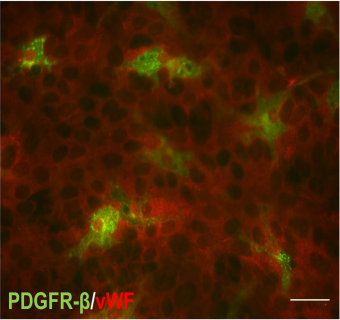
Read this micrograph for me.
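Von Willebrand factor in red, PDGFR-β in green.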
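A confluent monolayer of endothelial cells stained red forms a cobblestone sheet of polygonal cells with dark, round to oval unstained nuclei. Scattered among and over this sheet lie a few pericytes stained green, irregular in outline with short branching processes.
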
